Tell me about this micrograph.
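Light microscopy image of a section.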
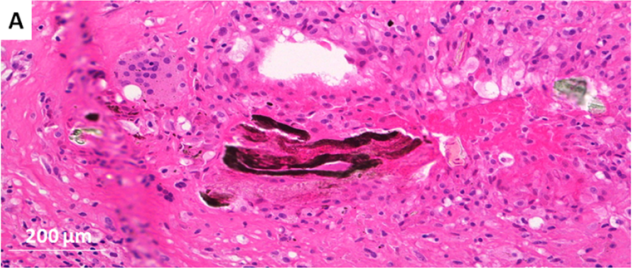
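Pink-stained fibrous tissue holds a dense population of rounded and spindle cells around a large, dark, elongated foreign fragment and several smaller dark or greenish particles. Many cells have pale, foamy or vacuolated cytoplasm with small purple nuclei, and a few large cells carry clustered nuclei. This looks like a foreign-body reaction with macrophages and multinucleated giant cells gathered about the particles.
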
